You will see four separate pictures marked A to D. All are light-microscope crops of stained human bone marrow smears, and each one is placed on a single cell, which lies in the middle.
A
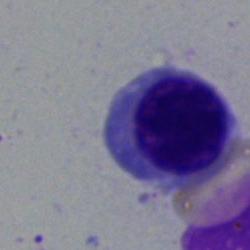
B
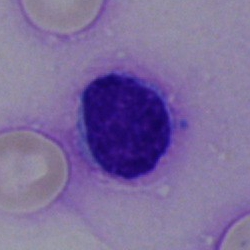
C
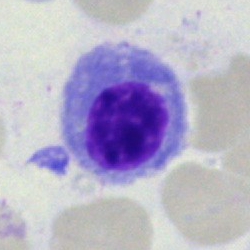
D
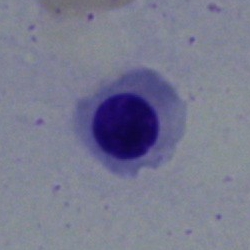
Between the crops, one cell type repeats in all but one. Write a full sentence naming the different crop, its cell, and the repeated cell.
In this set the other crops all show normoblasts, and crop B shows a lymphocyte.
